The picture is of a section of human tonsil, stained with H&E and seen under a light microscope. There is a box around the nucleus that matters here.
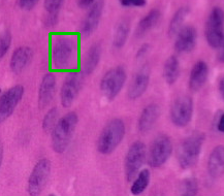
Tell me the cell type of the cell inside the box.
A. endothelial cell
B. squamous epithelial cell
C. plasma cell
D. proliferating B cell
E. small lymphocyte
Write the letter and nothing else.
B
